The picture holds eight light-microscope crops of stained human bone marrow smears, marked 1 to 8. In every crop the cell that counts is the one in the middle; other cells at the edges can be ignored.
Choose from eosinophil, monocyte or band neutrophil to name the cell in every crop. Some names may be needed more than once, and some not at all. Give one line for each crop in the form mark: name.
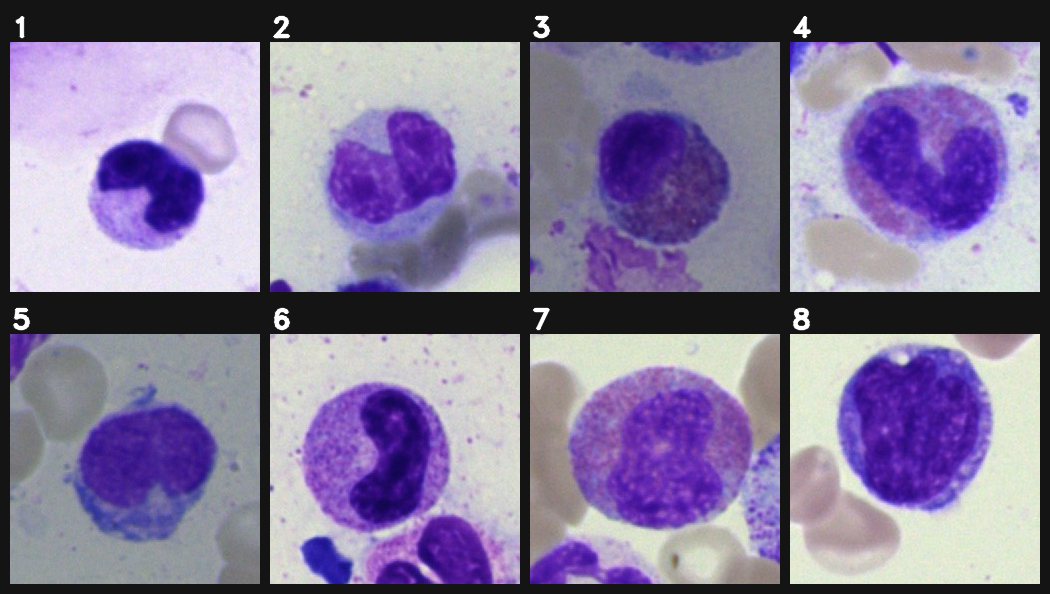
1: band neutrophil
2: monocyte
3: eosinophil
4: eosinophil
5: monocyte
6: band neutrophil
7: eosinophil
8: monocyte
